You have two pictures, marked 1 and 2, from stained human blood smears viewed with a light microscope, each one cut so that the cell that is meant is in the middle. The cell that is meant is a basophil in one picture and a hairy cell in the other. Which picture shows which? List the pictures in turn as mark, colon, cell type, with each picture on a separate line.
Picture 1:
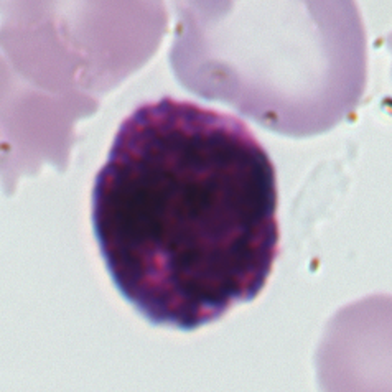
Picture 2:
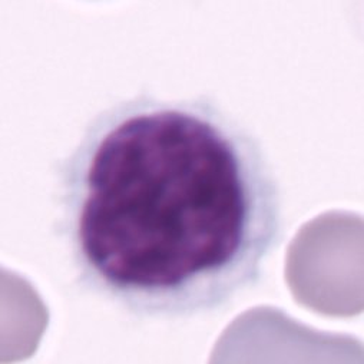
1: basophil
2: hairy cell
